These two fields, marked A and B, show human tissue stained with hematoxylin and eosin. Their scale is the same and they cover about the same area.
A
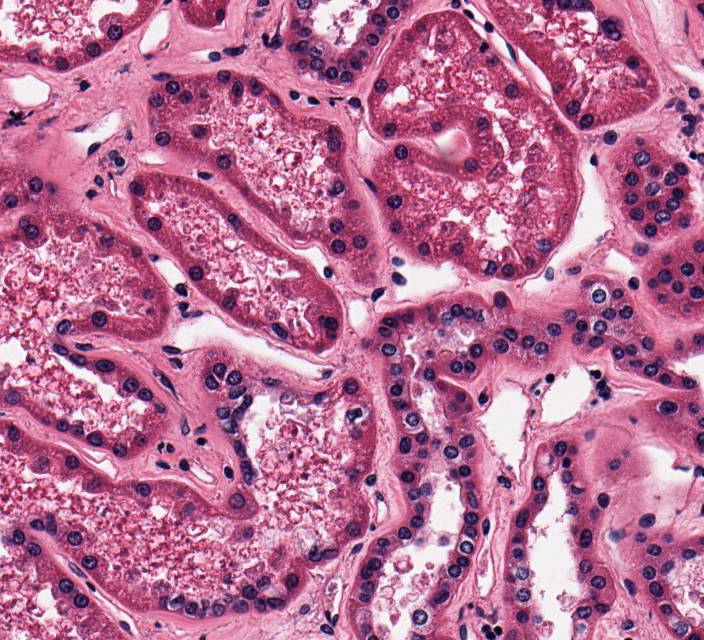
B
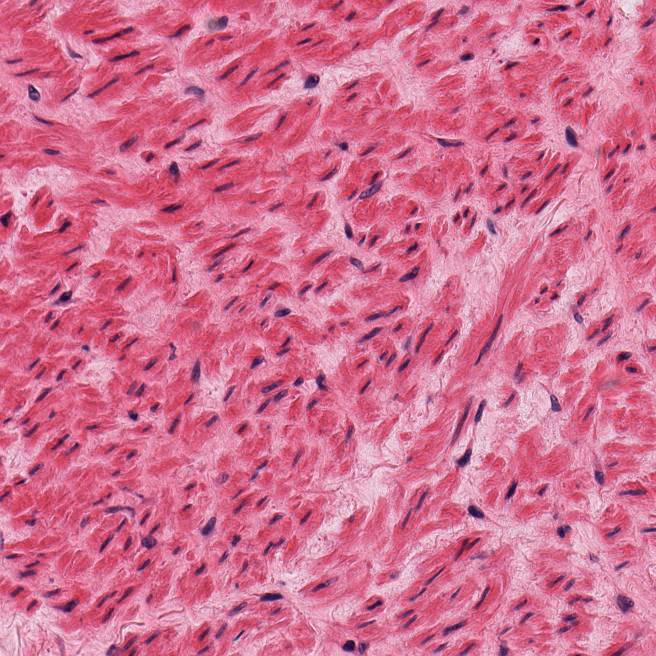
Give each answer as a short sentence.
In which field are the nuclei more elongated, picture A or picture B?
It is picture B whose nuclei are the more elongated.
